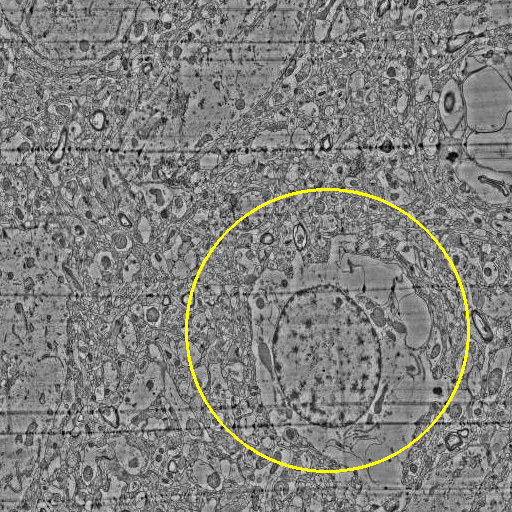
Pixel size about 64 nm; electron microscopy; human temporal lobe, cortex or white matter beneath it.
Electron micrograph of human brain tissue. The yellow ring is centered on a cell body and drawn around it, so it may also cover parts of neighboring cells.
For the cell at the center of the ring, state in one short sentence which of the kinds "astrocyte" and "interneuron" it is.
This ring is centered on an astrocyte.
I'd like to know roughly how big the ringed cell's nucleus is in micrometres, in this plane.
About 9 micrometres by about 7 micrometres in this plane.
